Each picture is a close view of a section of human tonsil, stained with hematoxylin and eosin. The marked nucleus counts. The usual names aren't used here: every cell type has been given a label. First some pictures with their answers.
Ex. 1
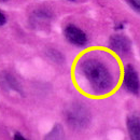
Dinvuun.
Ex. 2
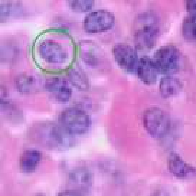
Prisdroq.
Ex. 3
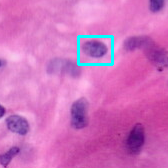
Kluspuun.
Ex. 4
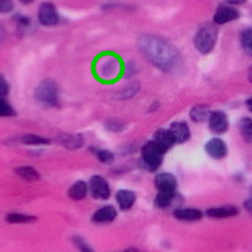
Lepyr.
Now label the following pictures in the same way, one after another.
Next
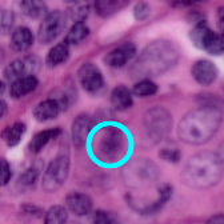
Lepyr.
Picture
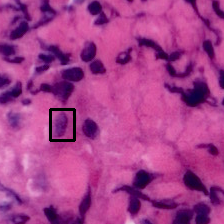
Lepyr.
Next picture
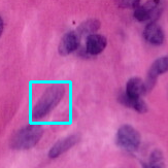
Lepyr.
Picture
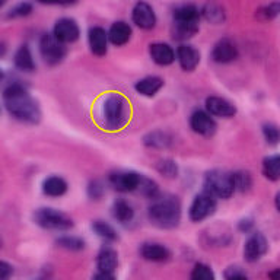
Lepyr.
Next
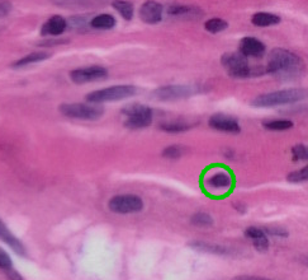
Kluspuun.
